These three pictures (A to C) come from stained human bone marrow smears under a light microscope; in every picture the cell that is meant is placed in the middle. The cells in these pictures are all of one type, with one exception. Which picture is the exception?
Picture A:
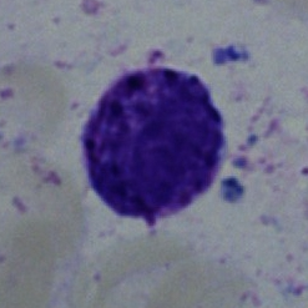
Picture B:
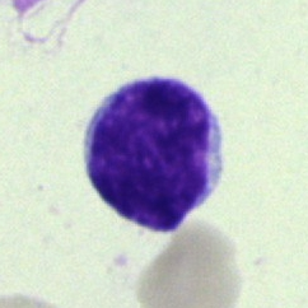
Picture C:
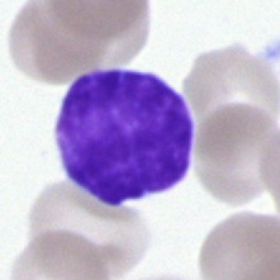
A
